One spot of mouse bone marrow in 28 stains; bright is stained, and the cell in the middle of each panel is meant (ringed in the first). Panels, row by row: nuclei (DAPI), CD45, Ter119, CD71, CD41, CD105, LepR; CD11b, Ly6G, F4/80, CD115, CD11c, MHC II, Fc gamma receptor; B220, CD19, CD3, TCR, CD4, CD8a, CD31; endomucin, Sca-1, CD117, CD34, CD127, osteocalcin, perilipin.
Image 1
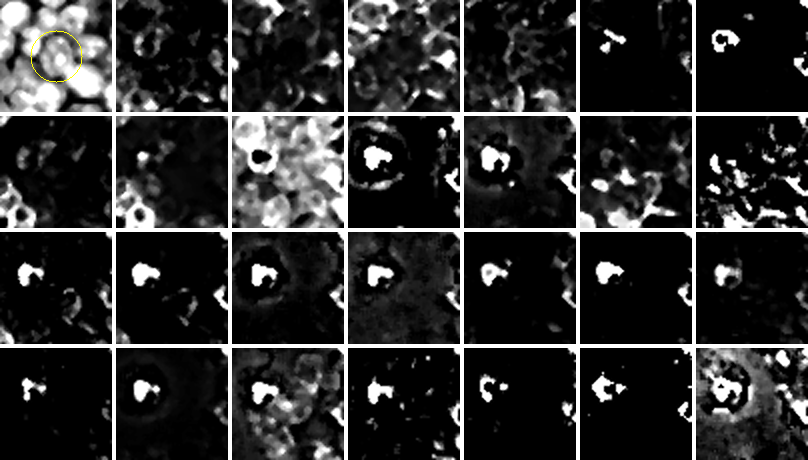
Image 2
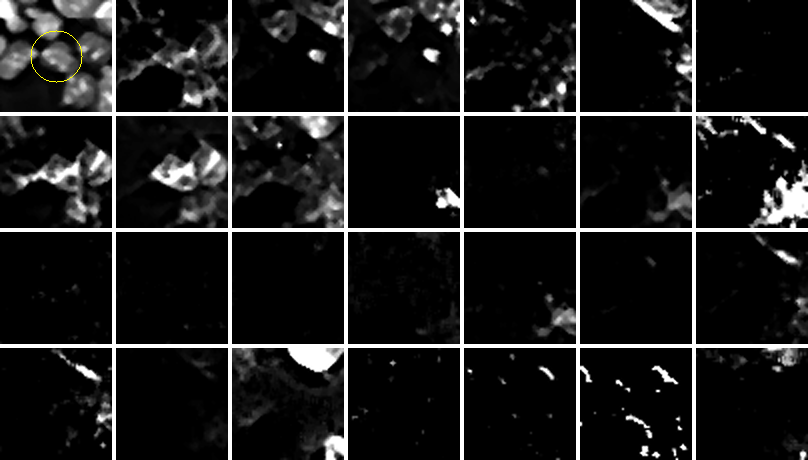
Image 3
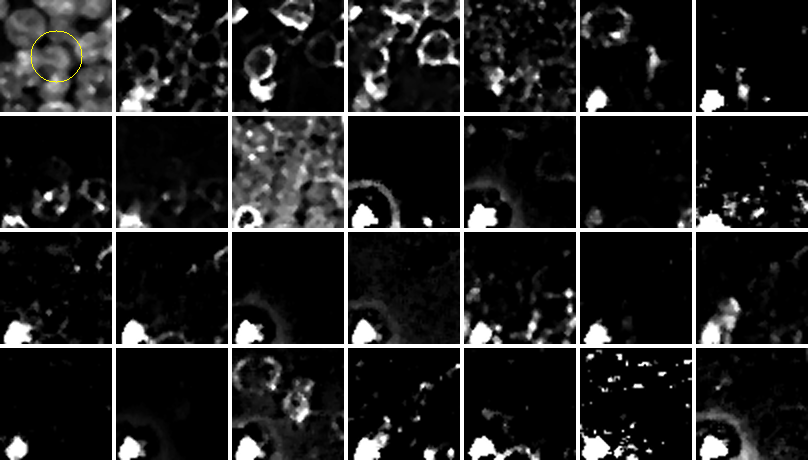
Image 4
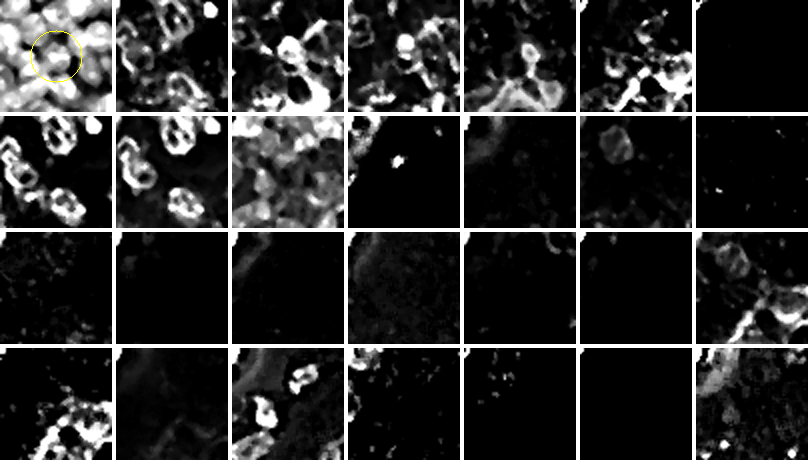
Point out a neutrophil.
That is picture 2.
